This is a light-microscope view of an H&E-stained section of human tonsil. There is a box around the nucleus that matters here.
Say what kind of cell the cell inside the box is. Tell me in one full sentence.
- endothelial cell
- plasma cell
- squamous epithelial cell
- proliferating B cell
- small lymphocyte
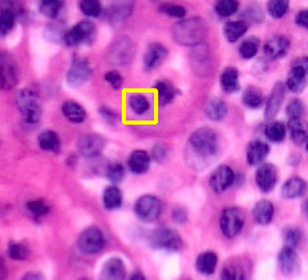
Assigned to a cell type, the cell inside the box is an endothelial cell.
